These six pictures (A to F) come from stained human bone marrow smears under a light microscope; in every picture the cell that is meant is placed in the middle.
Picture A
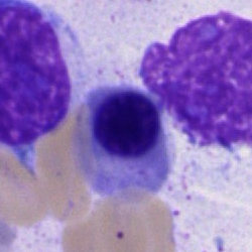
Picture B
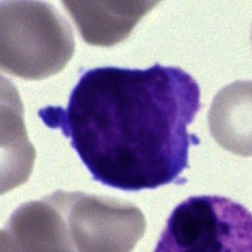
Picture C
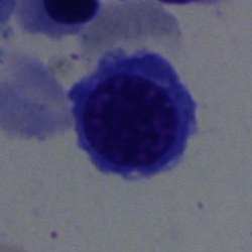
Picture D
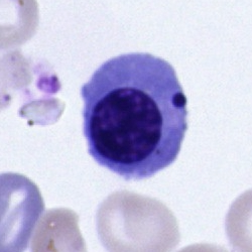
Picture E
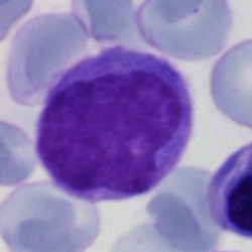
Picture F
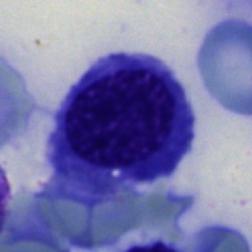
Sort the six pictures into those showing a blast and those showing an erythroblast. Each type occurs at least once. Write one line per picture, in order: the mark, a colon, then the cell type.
A: erythroblast
B: blast
C: erythroblast
D: erythroblast
E: blast
F: erythroblast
